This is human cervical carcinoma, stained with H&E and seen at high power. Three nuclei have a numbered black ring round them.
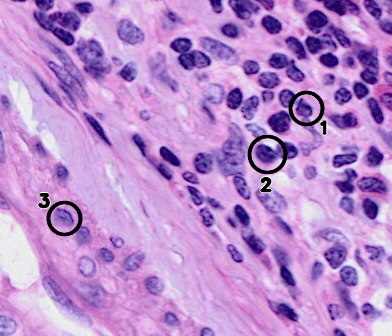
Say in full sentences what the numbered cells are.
Cells 1 and 2 are lymphocytes. Cell 3 is a smooth muscle cell.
